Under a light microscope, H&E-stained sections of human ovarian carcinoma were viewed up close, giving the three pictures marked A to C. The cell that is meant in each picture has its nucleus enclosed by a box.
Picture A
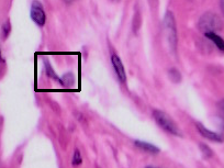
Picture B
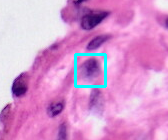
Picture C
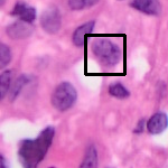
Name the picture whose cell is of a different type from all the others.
C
